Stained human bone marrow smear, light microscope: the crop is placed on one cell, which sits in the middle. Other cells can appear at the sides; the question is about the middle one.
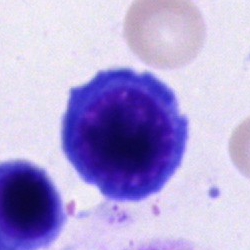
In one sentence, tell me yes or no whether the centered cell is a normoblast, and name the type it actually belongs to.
Yes, what sits in the centre of the crop is a normoblast.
